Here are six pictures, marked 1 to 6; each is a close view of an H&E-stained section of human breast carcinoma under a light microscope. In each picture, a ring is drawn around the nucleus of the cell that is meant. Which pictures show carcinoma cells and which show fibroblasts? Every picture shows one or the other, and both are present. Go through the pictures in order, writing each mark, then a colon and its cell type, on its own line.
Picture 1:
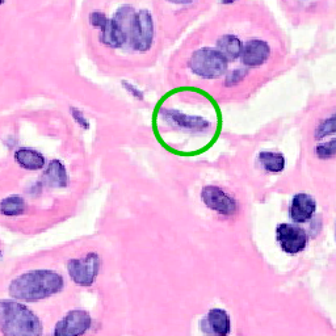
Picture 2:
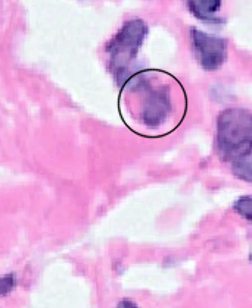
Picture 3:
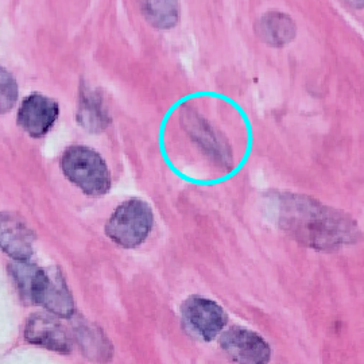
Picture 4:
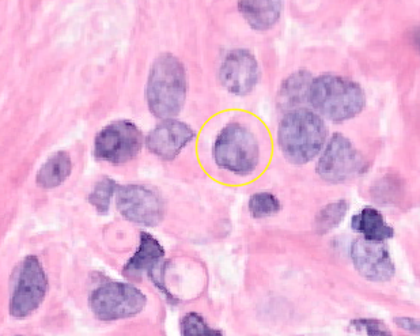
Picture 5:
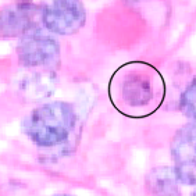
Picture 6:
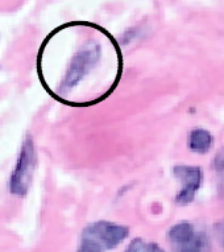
1: fibroblast
2: carcinoma cell
3: fibroblast
4: carcinoma cell
5: carcinoma cell
6: fibroblast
